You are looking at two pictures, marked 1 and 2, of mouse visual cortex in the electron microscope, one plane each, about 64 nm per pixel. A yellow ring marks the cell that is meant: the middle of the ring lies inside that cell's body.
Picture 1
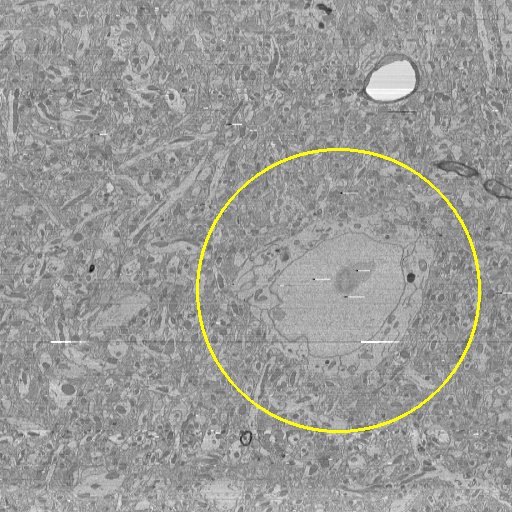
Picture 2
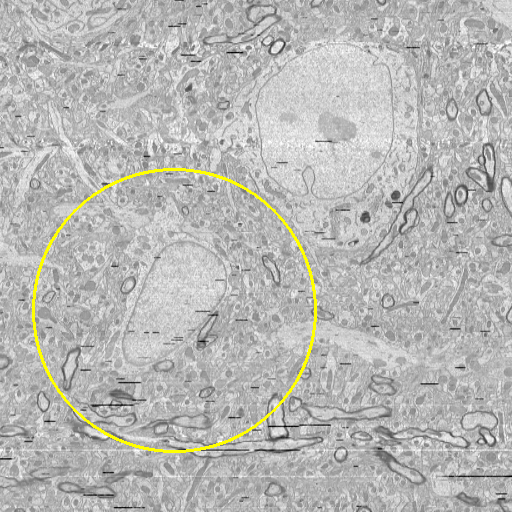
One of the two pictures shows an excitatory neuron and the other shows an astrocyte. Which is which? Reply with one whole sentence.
Picture 1 shows an excitatory neuron and picture 2 shows an astrocyte.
